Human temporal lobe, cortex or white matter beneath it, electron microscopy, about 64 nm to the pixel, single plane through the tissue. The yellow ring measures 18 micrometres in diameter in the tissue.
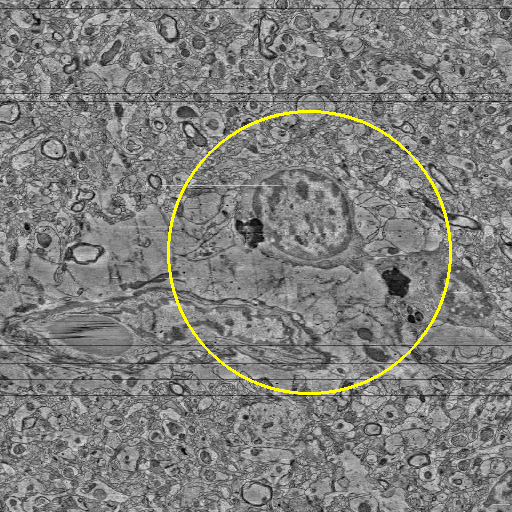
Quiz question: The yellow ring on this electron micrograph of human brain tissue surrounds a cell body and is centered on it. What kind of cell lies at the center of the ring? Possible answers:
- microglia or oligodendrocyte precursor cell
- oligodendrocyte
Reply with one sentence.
The ring's center lies on an oligodendrocyte.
